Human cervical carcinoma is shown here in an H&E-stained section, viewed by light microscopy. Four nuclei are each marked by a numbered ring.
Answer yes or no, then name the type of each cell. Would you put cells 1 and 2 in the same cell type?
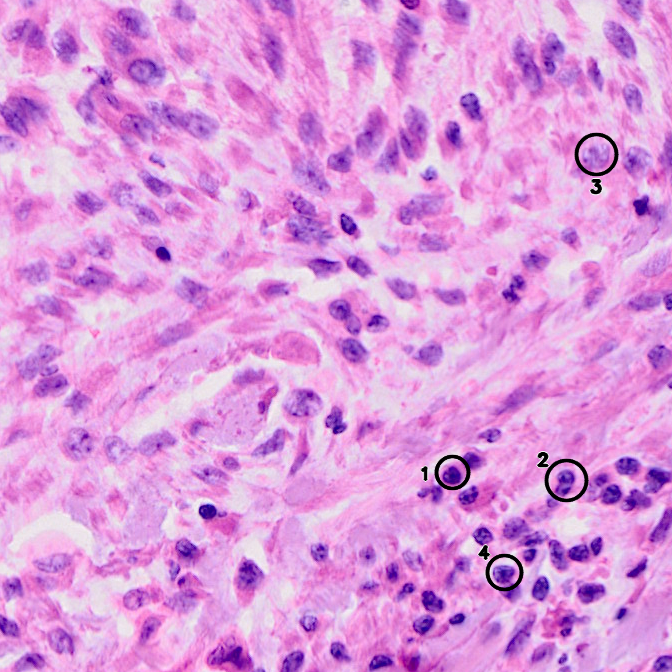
Yes, briefly put, cells 1 and 2 are both lymphocytes.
